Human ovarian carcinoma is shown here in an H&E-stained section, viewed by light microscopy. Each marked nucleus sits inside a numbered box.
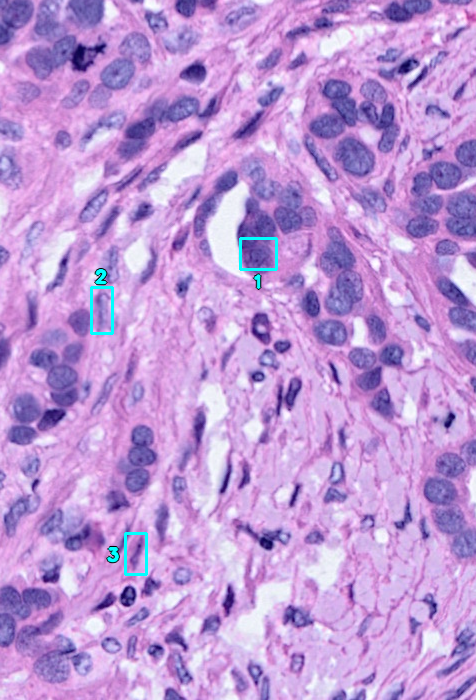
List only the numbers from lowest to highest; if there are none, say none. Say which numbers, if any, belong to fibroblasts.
2, 3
